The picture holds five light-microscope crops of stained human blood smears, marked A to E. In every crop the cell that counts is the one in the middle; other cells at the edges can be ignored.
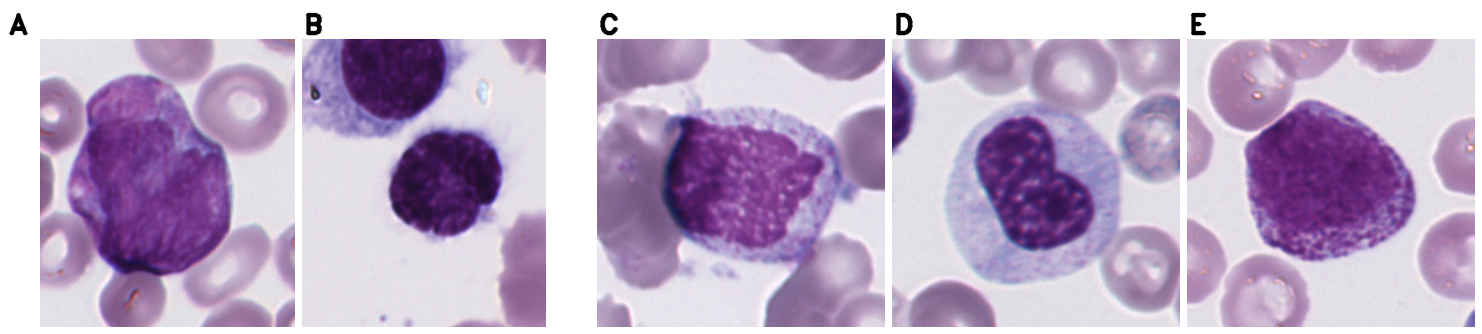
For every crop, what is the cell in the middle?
A: atypical promyelocyte
B: hairy cell
C: myelocyte
D: metamyelocyte
E: myelocyte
